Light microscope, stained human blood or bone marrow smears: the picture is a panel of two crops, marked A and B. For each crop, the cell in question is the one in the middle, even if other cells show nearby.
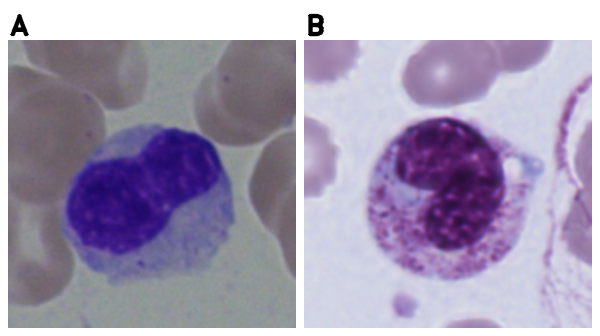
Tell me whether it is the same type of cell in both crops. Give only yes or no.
yes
